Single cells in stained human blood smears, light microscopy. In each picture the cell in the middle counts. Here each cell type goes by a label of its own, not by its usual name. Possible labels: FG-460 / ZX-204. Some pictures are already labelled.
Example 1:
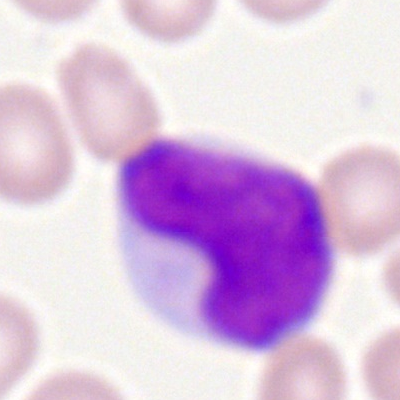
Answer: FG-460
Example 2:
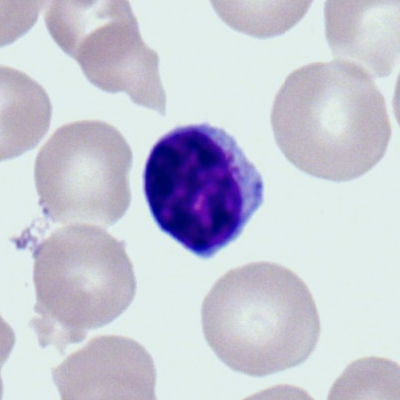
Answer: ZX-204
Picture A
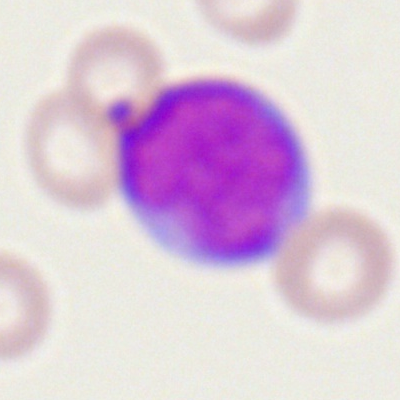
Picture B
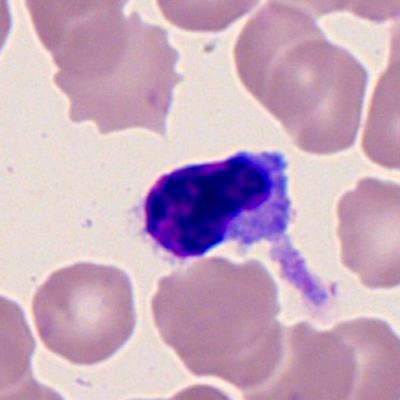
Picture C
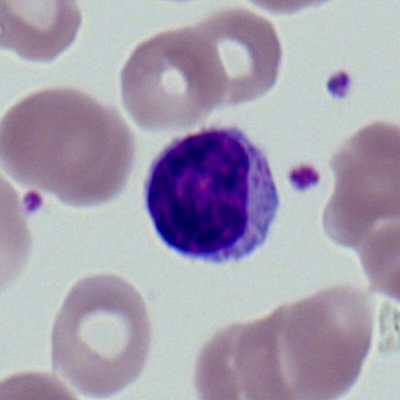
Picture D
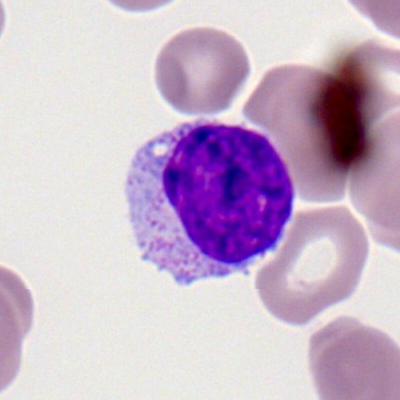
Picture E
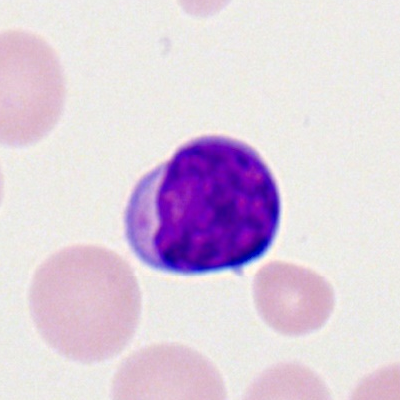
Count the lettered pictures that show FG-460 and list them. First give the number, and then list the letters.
1, namely A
